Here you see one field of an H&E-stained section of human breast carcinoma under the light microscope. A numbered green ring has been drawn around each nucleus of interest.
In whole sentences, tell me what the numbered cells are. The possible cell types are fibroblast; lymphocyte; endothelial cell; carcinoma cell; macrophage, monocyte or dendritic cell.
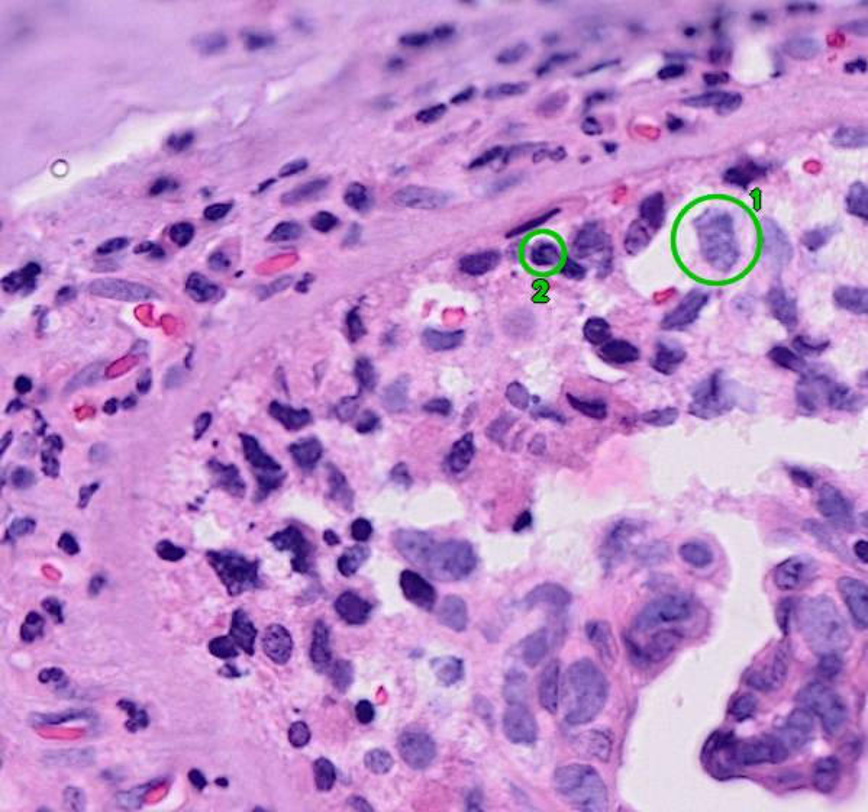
Cell 1 is a carcinoma cell. Cell 2 is a lymphocyte.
